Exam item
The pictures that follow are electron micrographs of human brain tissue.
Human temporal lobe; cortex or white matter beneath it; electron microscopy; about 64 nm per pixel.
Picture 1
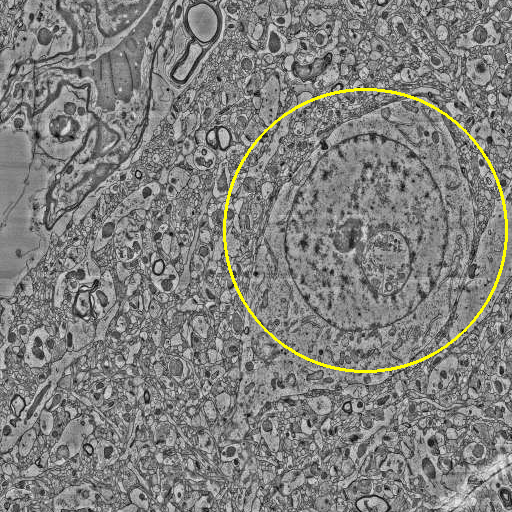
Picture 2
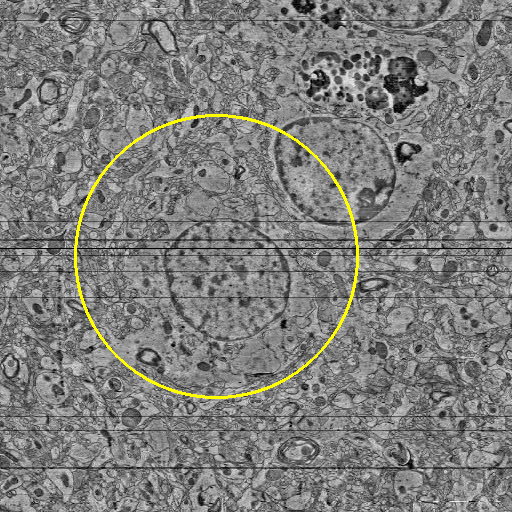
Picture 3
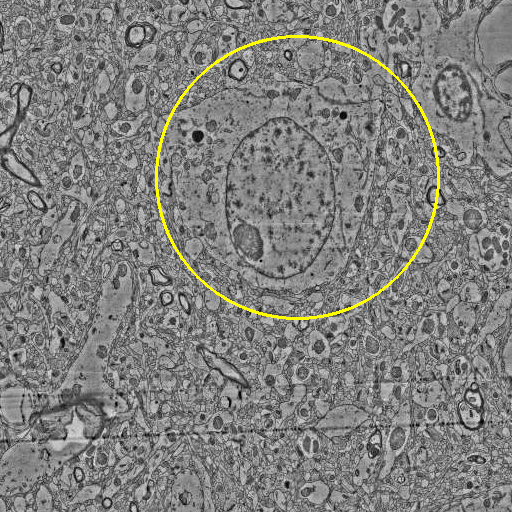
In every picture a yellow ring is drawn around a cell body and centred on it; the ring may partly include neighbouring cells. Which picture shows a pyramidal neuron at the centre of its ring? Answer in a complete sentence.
The cell at the centre of the ring in Picture 3 is the one asked for.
